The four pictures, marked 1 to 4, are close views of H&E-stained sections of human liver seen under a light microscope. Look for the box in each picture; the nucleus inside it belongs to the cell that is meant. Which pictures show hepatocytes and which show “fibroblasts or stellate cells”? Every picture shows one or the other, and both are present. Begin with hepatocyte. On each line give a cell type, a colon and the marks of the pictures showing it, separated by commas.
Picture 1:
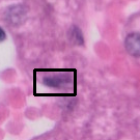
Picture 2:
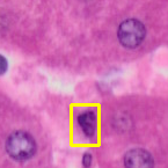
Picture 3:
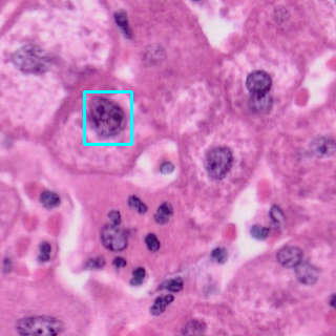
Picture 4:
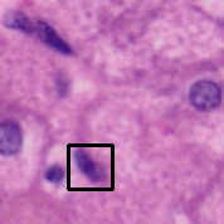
hepatocyte: 3
fibroblast or stellate cell: 1, 2, 4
